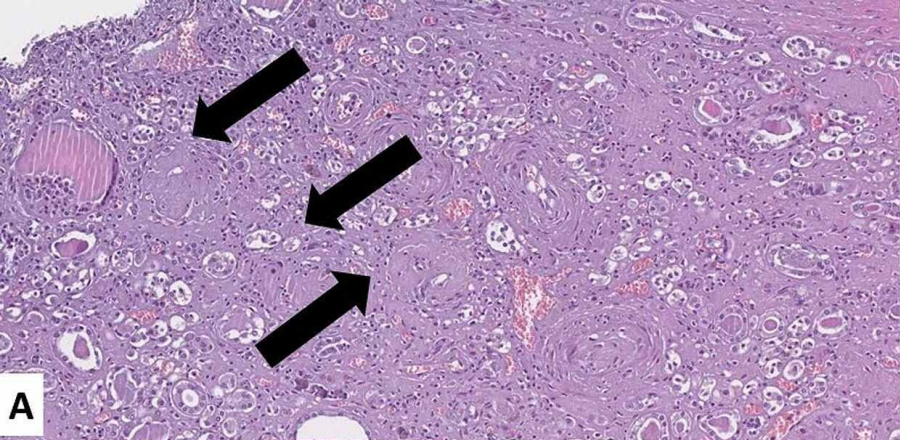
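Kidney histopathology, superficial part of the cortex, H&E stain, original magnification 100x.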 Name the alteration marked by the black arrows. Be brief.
Sclerotic glomeruli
